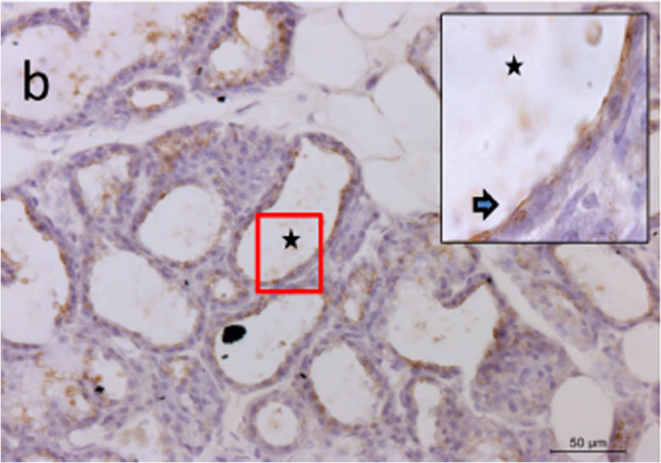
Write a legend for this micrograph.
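Mammary alveoli of varied size are lined by cuboidal epithelial cells with round to ovoid blue nuclei, set between fat cells that appear as large empty spaces at the top. Many lumina are distended and contain pale secretion with small brown droplets. Fine brown granular staining lies in the epithelial lining and along its luminal edge; the enlarged inset shows a thin brown line at the border of the epithelium facing the lumen. A black dot of debris lies in one lumen.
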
